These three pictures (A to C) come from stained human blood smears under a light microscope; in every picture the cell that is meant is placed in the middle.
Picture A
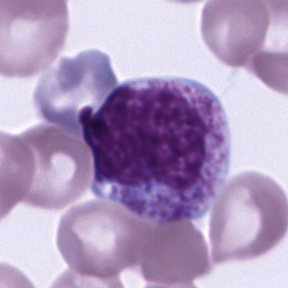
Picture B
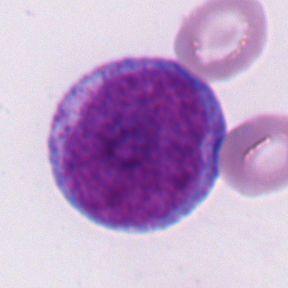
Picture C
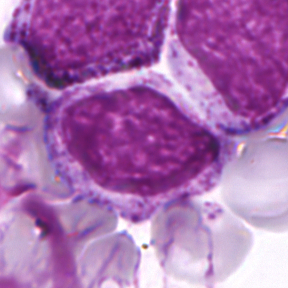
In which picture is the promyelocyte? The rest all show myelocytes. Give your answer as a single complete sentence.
It is picture B that shows the promyelocyte.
